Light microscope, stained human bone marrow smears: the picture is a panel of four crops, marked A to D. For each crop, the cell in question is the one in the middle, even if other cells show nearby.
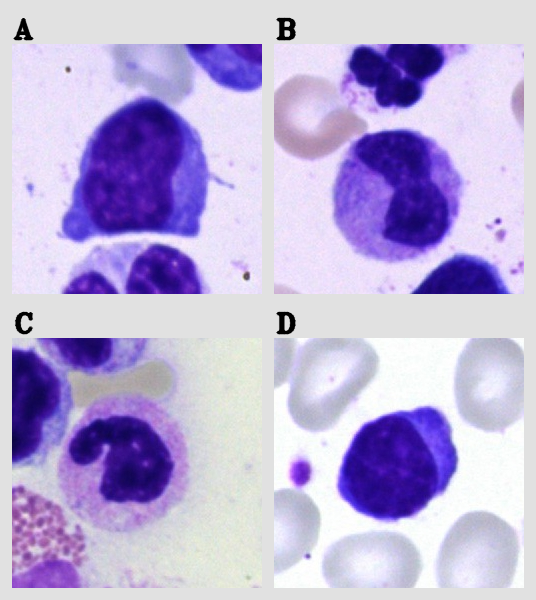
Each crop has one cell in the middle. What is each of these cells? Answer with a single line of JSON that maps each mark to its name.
{"A": "blast", "B": "metamyelocyte", "C": "segmented neutrophil", "D": "plasma cell"}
